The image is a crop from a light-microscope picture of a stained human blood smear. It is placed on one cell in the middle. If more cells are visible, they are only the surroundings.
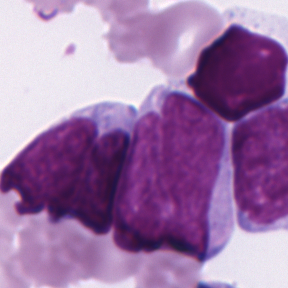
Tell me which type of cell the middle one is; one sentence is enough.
The cell in the exact centre of the crop is a myeloblast.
